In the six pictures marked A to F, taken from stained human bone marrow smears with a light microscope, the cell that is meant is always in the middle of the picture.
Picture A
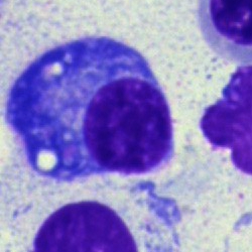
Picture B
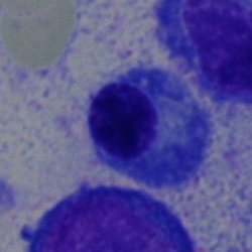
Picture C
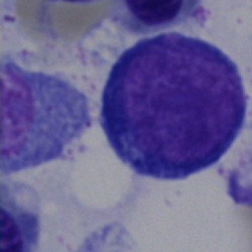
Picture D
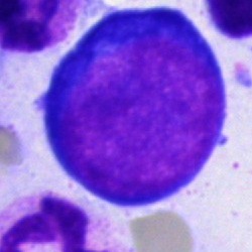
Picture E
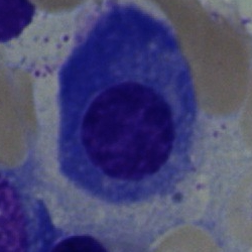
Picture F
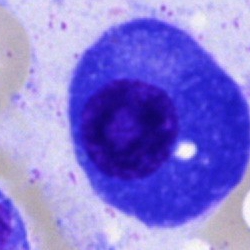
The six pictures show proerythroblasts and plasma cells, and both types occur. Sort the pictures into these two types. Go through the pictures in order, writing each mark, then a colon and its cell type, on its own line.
A: plasma cell
B: plasma cell
C: proerythroblast
D: proerythroblast
E: plasma cell
F: plasma cell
